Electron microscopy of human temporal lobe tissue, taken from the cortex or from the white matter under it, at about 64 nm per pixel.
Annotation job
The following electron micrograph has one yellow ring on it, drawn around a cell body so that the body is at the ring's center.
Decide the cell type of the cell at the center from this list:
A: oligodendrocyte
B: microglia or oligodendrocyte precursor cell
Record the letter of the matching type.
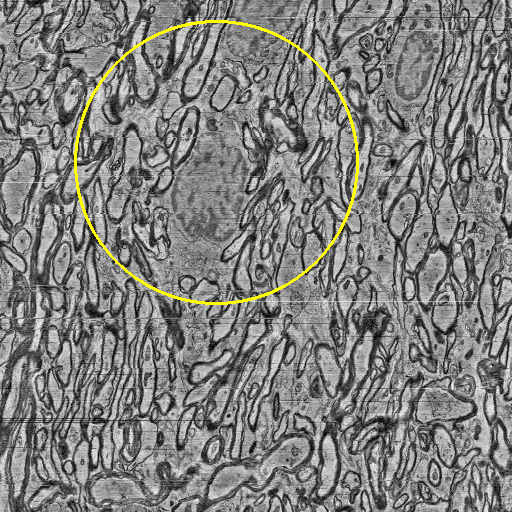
A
